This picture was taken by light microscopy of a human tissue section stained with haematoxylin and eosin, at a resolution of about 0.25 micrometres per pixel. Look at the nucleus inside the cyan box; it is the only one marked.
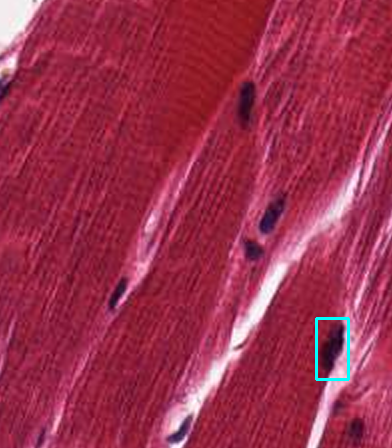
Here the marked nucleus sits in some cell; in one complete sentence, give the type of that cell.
The mark indicates the nucleus of a skeletal muscle fibre.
